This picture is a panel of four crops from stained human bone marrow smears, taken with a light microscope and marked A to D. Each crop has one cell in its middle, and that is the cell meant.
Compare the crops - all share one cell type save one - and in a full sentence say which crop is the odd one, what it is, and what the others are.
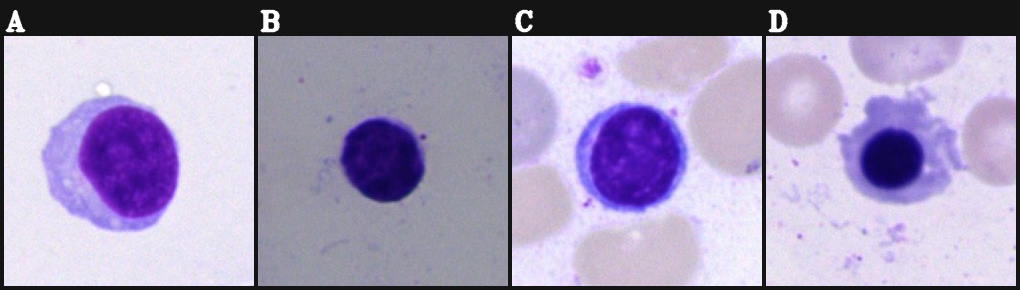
All the crops show lymphocytes except crop D, which shows a normoblast.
